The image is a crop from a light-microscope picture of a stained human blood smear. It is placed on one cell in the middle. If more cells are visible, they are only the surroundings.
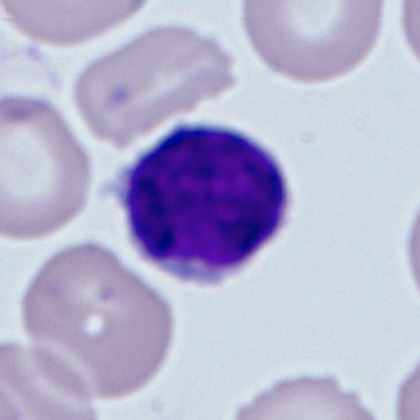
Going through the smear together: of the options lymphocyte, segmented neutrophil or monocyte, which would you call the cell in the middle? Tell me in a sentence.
The cell that lies at the centre of the crop is a lymphocyte.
